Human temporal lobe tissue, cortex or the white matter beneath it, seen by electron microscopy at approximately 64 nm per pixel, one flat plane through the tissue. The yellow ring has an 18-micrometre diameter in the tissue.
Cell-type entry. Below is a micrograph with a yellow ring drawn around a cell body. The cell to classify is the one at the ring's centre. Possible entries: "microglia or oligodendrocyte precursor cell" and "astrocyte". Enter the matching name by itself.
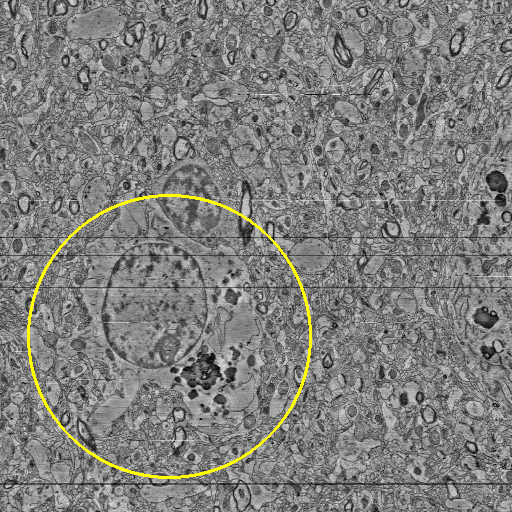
astrocyte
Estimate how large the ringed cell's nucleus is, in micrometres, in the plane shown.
In this plane, about 8 micrometres in length and 7 in width.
